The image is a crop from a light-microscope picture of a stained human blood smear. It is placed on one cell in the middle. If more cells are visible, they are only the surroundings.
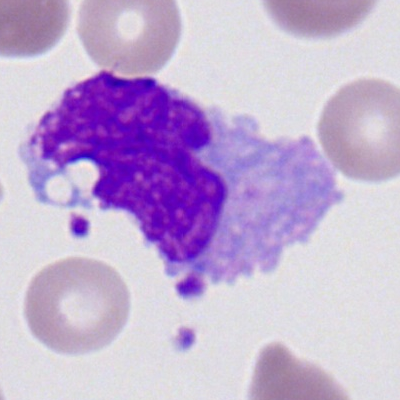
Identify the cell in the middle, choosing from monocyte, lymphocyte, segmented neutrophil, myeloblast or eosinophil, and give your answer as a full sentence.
The crop centres on a single cell, and that cell is a monocyte.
